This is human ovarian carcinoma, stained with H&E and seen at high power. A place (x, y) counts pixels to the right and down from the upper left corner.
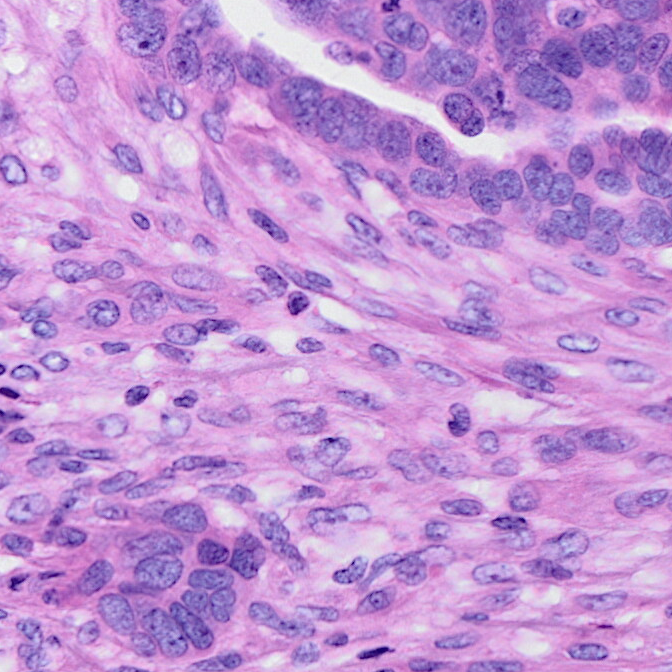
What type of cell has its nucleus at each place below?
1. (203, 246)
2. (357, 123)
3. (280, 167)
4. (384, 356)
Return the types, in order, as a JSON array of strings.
["fibroblast", "carcinoma cell", "fibroblast", "fibroblast"]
